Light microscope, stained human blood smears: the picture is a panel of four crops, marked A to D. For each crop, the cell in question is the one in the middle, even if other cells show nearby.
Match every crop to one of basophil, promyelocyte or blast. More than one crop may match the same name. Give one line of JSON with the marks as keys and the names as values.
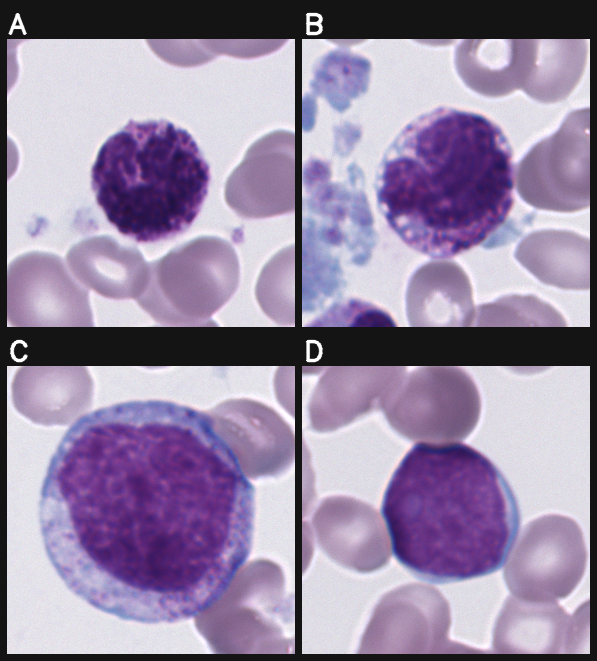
{"A": "basophil", "B": "basophil", "C": "promyelocyte", "D": "blast"}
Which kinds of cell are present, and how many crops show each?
basophil: 2
promyelocyte: 1
blast: 1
